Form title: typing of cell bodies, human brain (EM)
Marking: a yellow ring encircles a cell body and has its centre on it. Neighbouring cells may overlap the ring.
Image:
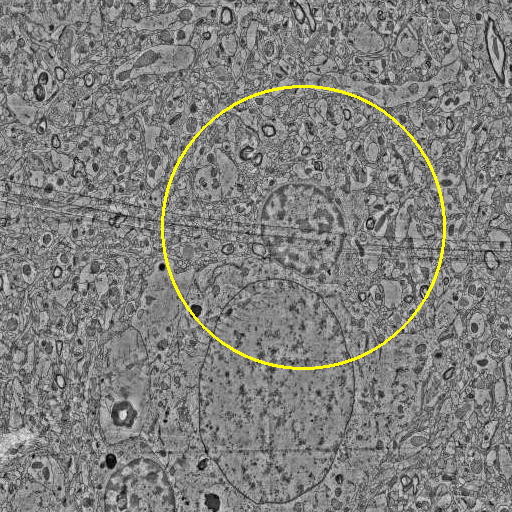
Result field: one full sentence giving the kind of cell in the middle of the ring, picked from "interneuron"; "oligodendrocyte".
In the picture, the ring is centred on an oligodendrocyte, whose cell body it encircles.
